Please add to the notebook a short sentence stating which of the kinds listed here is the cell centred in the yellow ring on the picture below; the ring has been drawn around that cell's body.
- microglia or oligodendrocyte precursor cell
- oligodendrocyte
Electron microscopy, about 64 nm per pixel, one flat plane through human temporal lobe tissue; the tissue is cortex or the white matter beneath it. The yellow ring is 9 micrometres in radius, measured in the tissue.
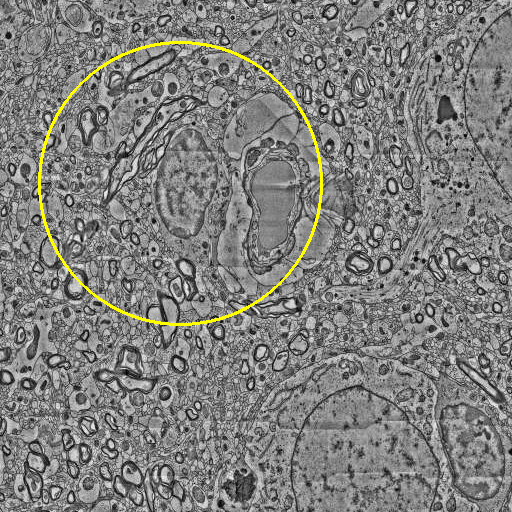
The cell centred in the yellow ring is an oligodendrocyte.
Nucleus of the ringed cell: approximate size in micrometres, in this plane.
Roughly 7 by 4 micrometres is the size of the nucleus in this plane.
